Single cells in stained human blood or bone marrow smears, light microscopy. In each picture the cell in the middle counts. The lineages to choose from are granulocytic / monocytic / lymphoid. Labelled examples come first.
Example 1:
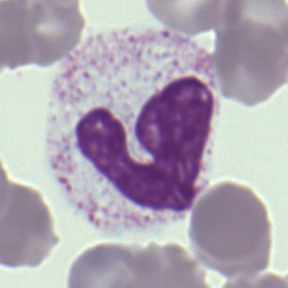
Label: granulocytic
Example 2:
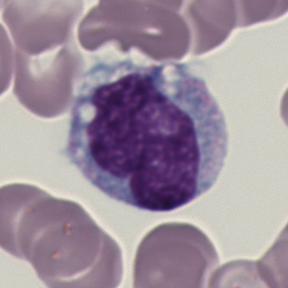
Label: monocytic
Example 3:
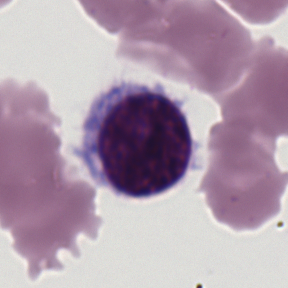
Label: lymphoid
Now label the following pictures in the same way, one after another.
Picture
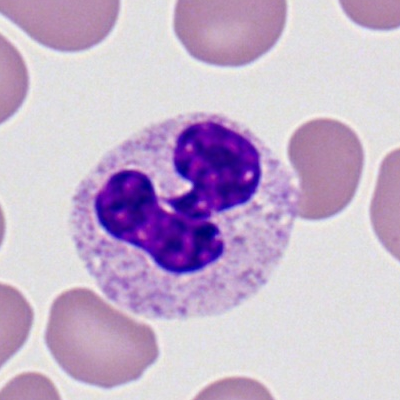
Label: granulocytic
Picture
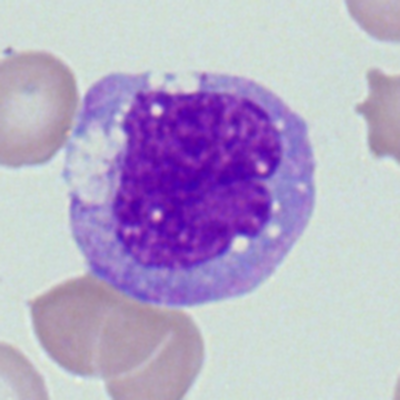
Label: monocytic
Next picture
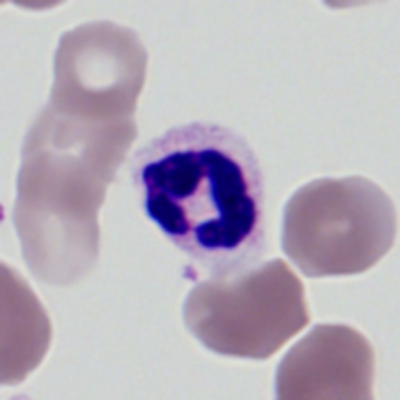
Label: granulocytic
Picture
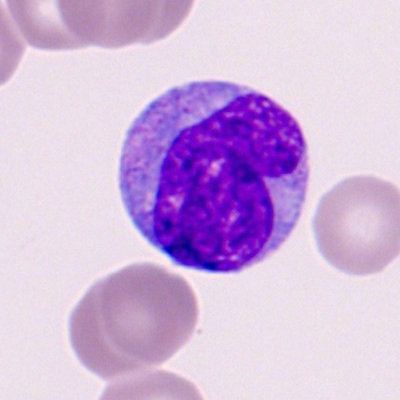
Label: monocytic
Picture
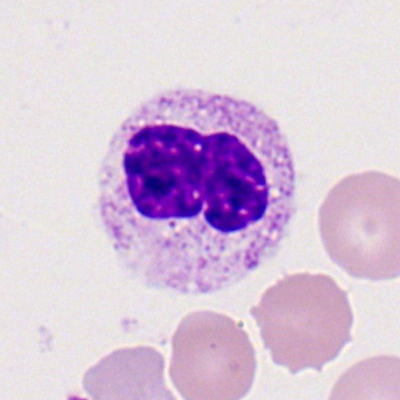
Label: granulocytic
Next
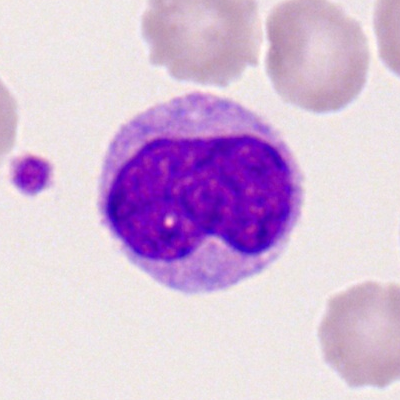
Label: monocytic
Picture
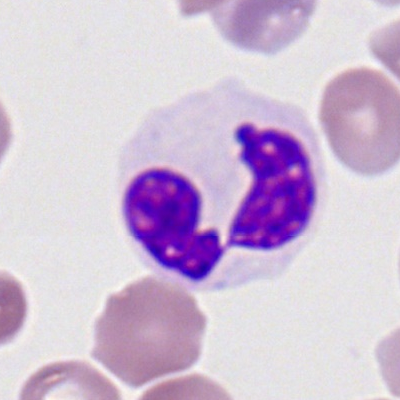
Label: granulocytic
